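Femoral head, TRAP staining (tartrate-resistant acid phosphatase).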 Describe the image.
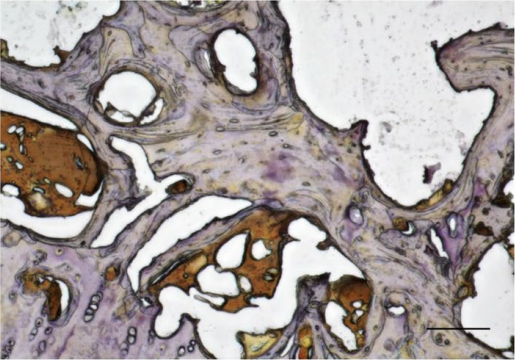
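This is cancellous bone with wide purple-grey trabeculae enclosing marrow spaces of varied size. Small lacunae are scattered through the matrix. Faint lamellar lines run along parts of the trabeculae. Several spaces are partly filled with dense orange-brown material that contains small round holes. Other spaces are empty and white, and some small round canals appear within the bone.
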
